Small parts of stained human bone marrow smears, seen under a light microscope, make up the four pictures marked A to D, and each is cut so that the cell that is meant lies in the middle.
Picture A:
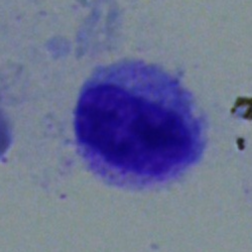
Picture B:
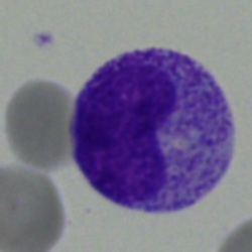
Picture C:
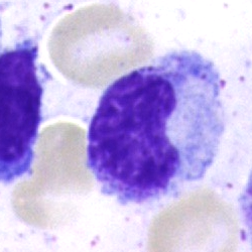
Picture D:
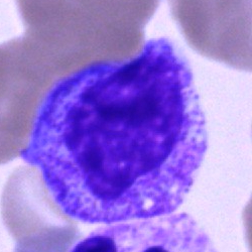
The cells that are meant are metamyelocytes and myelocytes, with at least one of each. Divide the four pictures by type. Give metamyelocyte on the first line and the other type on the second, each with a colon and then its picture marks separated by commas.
metamyelocyte: A, B, C
myelocyte: D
